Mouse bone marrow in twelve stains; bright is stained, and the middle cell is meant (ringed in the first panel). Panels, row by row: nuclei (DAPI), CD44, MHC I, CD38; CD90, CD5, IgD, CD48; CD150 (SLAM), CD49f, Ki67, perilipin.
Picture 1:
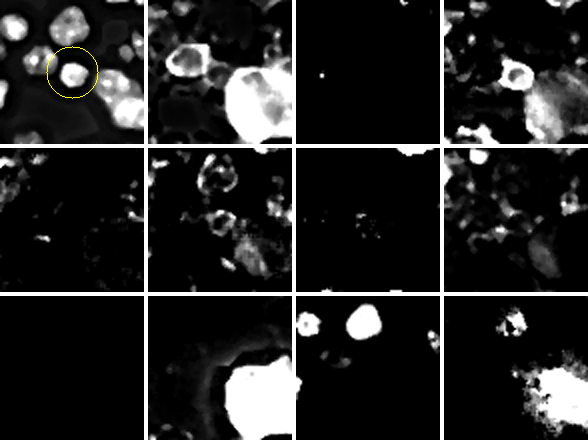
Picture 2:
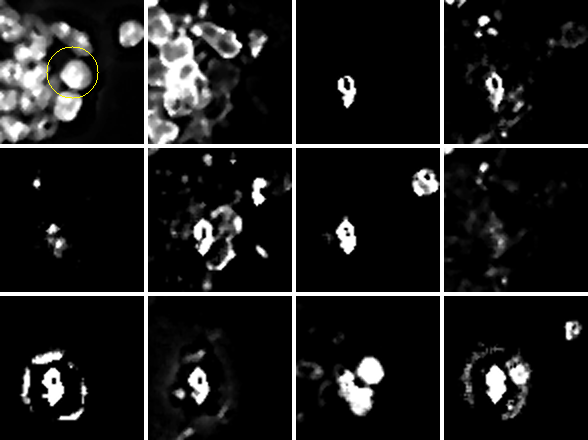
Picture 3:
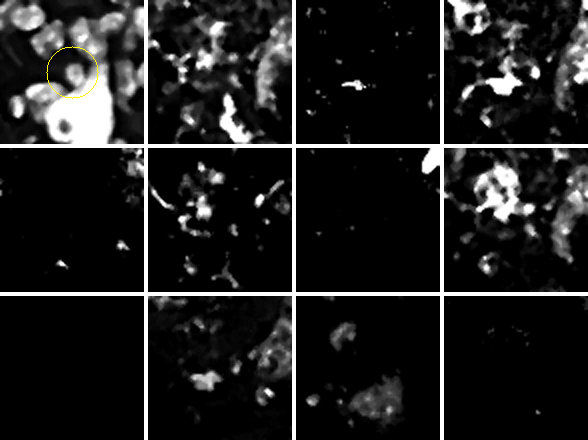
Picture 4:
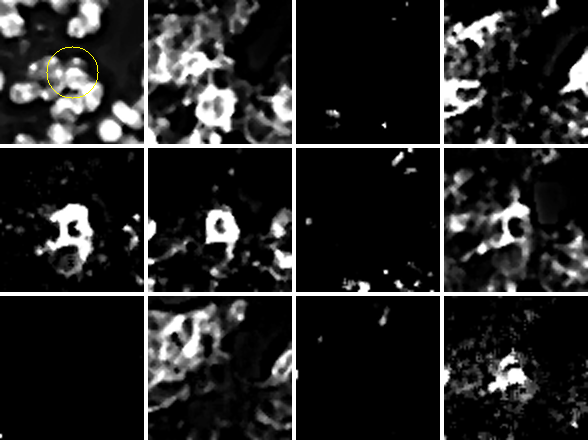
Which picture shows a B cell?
Picture 1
